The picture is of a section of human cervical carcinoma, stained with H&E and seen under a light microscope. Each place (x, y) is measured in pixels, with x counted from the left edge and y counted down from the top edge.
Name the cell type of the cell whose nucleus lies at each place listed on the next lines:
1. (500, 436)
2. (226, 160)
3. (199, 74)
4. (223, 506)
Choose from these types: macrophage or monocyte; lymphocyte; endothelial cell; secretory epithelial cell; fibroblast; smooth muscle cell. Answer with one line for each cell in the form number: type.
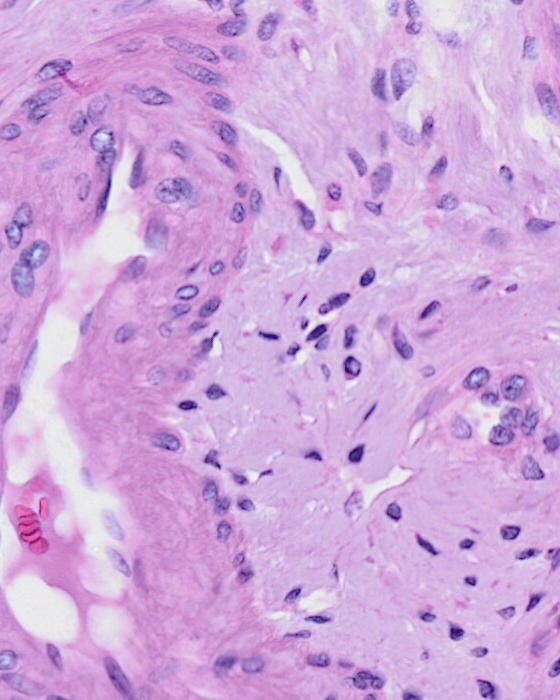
1: endothelial cell
2: smooth muscle cell
3: smooth muscle cell
4: smooth muscle cell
